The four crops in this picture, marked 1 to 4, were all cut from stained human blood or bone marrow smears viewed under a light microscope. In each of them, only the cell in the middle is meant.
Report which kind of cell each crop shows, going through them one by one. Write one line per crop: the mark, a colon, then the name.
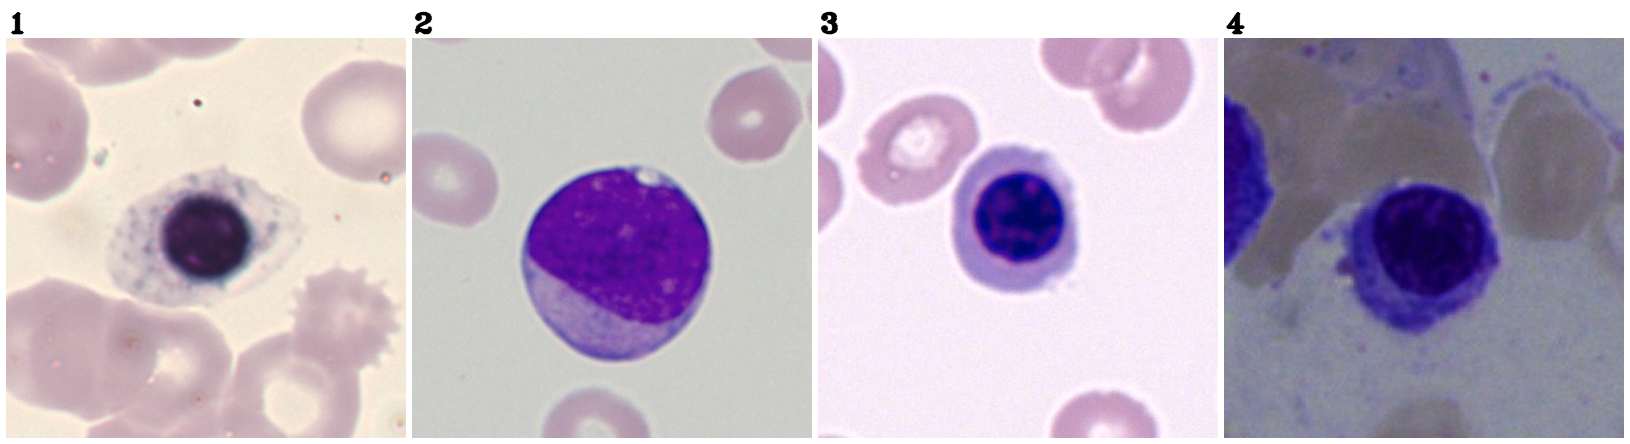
1: erythroblast
2: blast
3: erythroblast
4: erythroblast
